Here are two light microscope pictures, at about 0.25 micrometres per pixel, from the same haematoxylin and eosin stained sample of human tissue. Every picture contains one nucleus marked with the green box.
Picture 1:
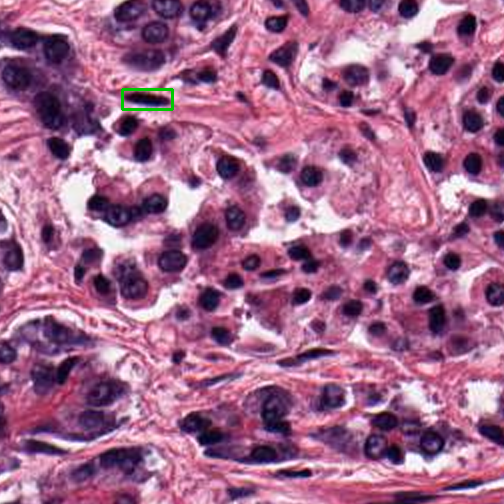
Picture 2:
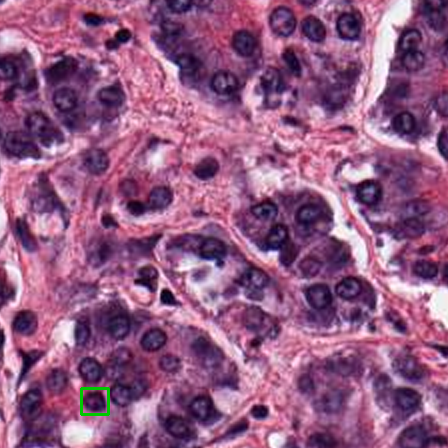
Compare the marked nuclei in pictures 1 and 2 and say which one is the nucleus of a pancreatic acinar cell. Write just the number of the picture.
2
